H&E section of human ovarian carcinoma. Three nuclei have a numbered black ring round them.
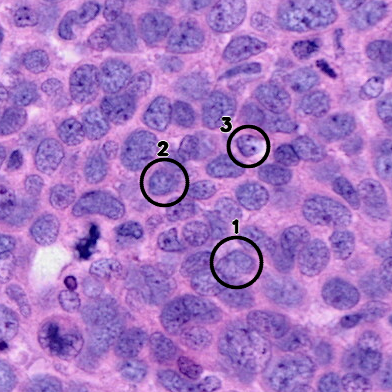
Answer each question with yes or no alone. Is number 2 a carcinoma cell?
yes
